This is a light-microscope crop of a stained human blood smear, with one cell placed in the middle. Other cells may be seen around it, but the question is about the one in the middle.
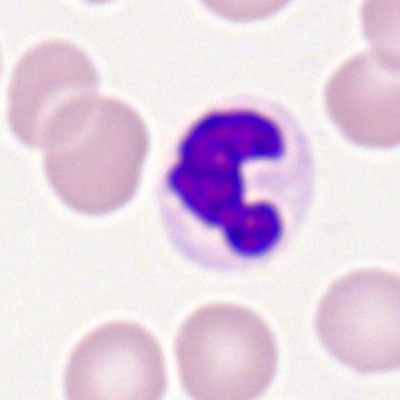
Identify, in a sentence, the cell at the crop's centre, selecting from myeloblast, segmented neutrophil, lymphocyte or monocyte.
This crop has a segmented neutrophil at its centre.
